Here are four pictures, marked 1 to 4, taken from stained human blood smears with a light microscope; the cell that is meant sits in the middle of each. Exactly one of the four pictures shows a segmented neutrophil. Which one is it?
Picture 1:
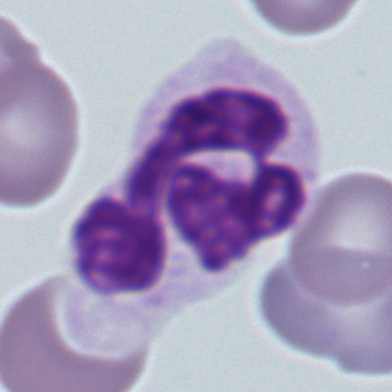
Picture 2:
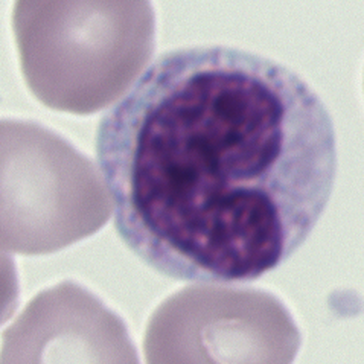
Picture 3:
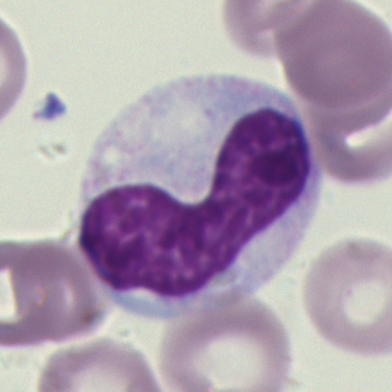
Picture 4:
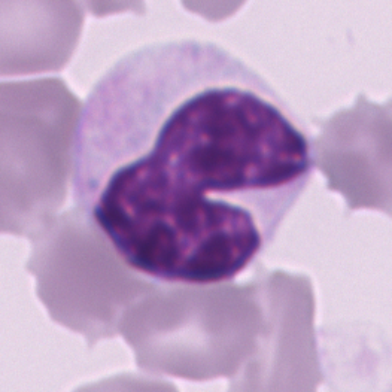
1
